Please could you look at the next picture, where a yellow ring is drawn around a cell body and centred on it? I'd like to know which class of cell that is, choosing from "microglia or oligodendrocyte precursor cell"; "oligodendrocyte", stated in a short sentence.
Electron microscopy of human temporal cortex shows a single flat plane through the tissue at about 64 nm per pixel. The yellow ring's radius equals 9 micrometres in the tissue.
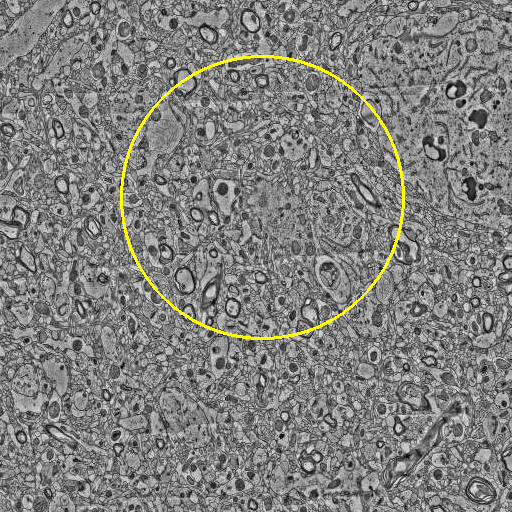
The ring's centre lies on an oligodendrocyte.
